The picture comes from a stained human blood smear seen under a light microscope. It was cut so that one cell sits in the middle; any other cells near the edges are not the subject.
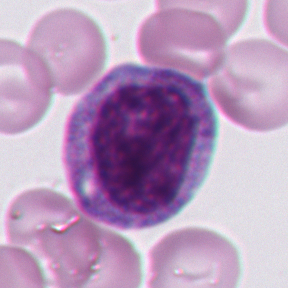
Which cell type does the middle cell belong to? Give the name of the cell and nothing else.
myelocyte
